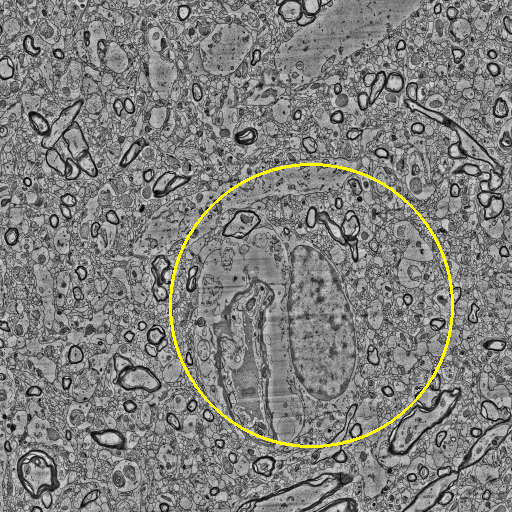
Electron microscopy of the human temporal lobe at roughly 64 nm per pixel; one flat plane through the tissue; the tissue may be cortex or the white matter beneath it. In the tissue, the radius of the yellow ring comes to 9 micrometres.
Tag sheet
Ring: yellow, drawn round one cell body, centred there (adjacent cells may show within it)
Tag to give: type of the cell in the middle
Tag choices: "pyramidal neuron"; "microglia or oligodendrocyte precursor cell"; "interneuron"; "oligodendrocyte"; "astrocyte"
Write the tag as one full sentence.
I tag the cell centred in the yellow ring as a microglial cell or oligodendrocyte precursor cell in this picture.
